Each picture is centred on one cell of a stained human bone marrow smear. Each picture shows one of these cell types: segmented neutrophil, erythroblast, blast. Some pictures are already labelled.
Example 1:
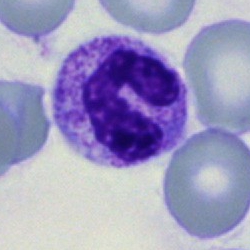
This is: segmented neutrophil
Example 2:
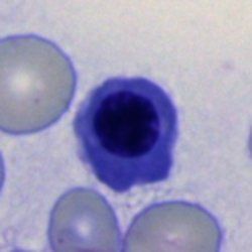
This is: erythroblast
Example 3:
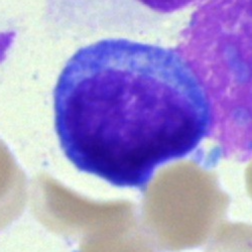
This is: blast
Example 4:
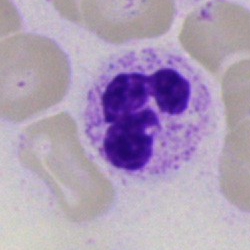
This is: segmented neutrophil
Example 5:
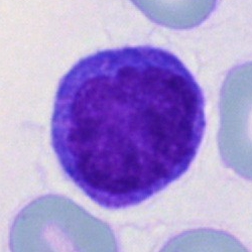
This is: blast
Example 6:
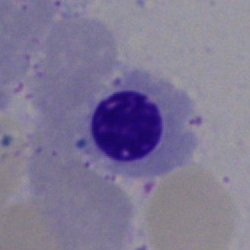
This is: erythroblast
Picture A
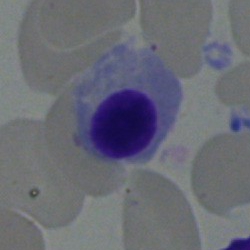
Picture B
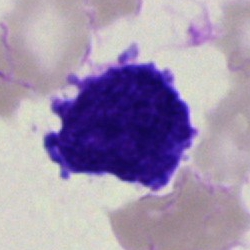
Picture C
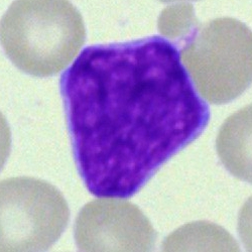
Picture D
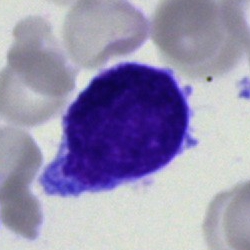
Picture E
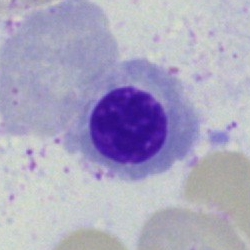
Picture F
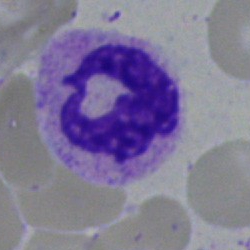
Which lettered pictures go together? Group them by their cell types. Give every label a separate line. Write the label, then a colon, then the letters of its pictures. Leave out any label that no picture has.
segmented neutrophil: F
erythroblast: A, E
blast: B, C, D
